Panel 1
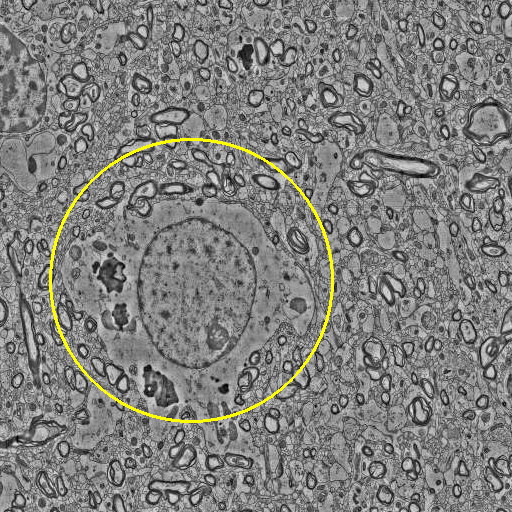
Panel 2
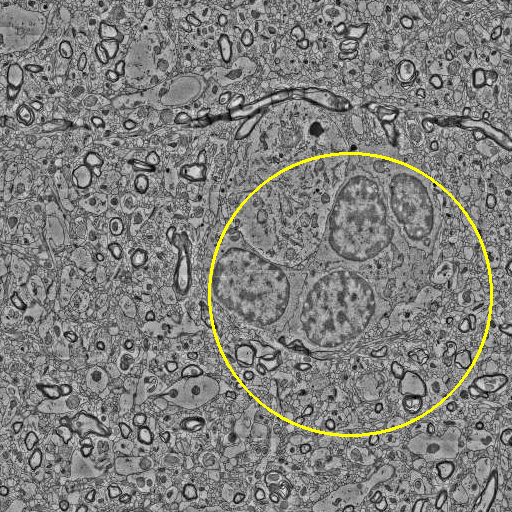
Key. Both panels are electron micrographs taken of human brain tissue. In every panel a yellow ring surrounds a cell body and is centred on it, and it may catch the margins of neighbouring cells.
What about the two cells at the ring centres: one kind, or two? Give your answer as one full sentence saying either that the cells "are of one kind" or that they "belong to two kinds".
Across Panels 1 and 2, the two cells at the ring centres belong to two kinds.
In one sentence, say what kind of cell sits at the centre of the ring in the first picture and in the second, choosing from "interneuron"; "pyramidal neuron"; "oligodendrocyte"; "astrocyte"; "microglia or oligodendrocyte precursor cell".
The first picture's ringed cell is an astrocyte, while the second picture's is an oligodendrocyte.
